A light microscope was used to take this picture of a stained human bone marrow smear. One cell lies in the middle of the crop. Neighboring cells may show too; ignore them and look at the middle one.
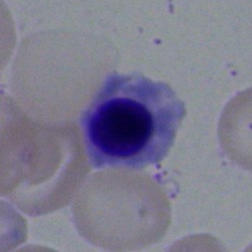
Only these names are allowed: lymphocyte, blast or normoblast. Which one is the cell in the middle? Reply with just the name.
normoblast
